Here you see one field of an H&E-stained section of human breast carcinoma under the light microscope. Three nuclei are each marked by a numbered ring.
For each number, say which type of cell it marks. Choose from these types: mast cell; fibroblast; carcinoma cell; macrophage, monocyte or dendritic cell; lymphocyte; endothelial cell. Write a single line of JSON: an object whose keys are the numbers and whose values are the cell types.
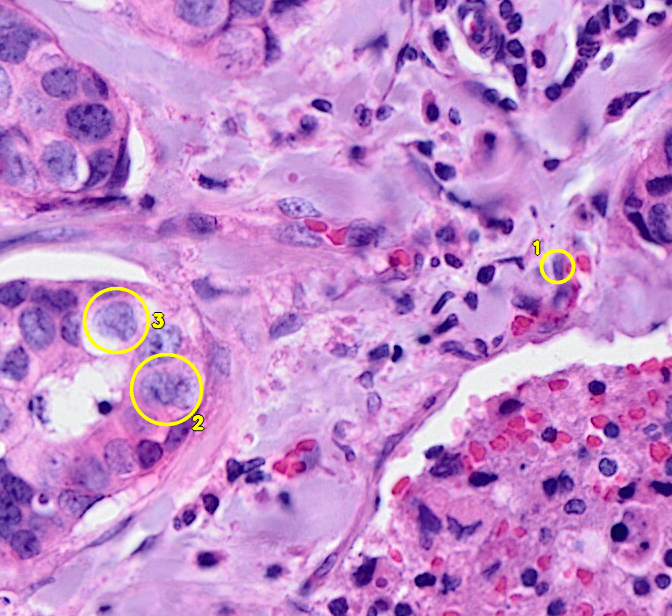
{"1": "endothelial cell", "2": "carcinoma cell", "3": "carcinoma cell"}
